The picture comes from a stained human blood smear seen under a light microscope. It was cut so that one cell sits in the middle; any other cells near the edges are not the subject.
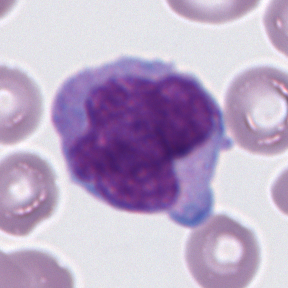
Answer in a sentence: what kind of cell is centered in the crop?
The cell around which this crop is centred is an atypical promyelocyte.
